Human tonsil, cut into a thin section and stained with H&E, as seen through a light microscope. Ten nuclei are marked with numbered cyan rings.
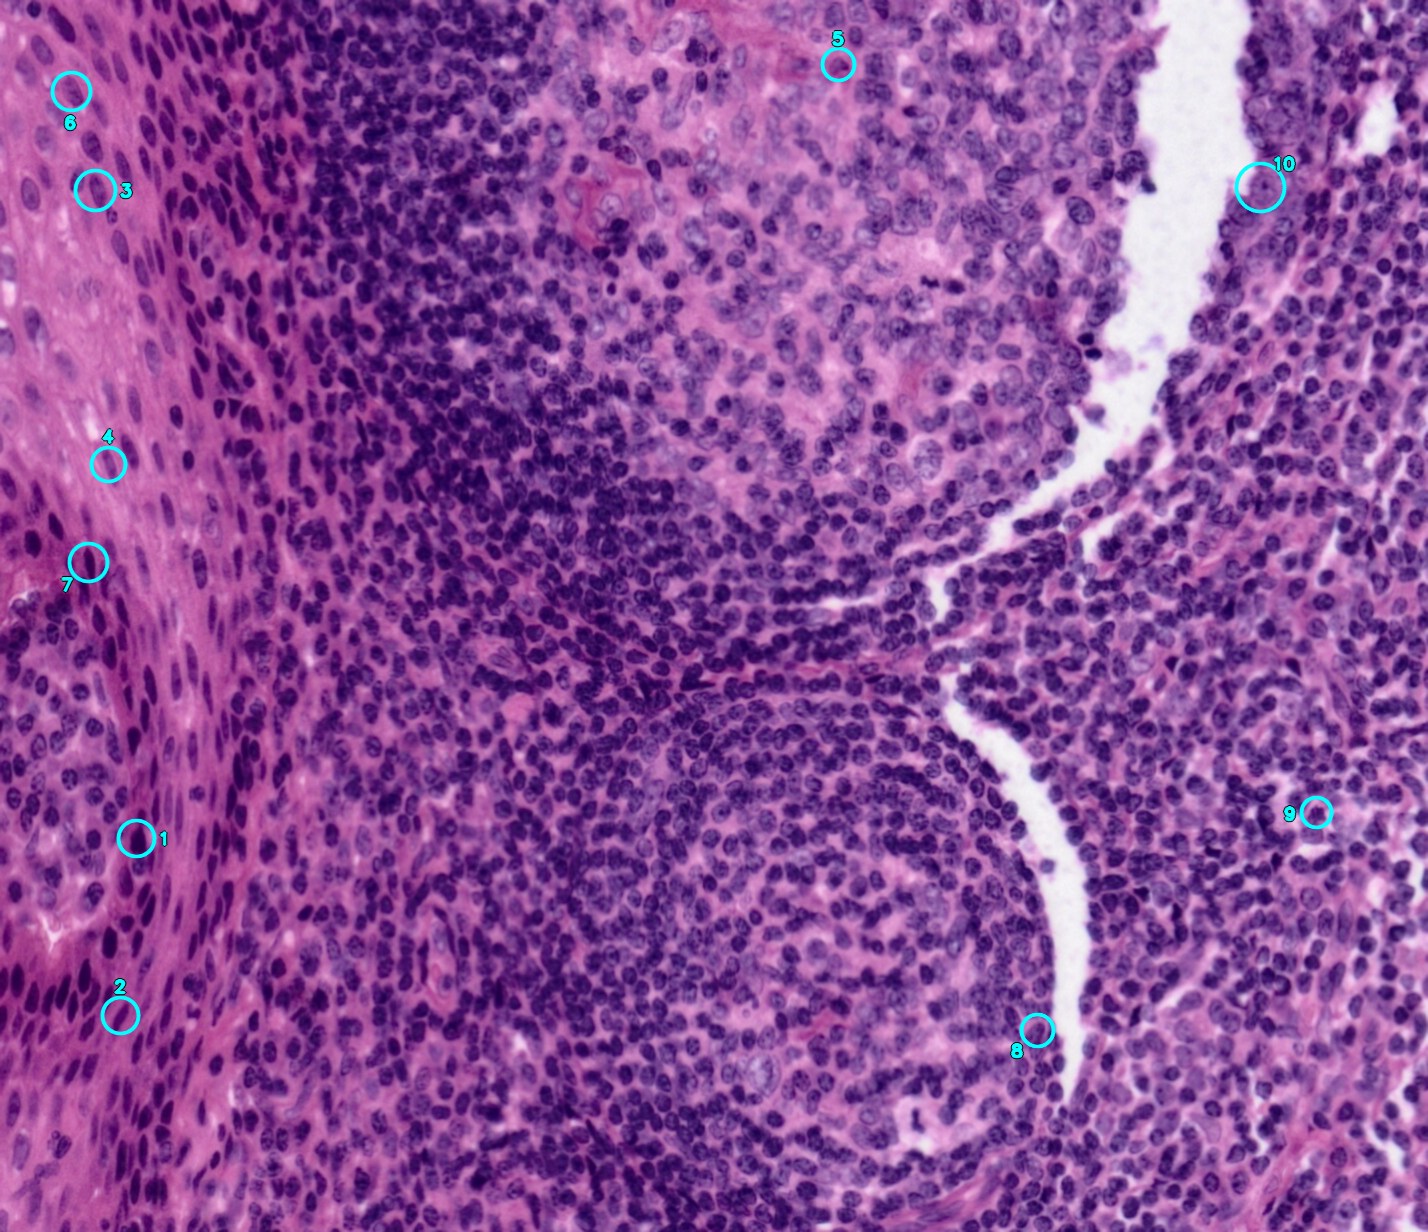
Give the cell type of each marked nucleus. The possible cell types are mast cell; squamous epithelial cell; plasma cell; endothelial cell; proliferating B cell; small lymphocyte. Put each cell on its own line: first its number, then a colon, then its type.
1: squamous epithelial cell
2: squamous epithelial cell
3: squamous epithelial cell
4: squamous epithelial cell
5: endothelial cell
6: squamous epithelial cell
7: squamous epithelial cell
8: small lymphocyte
9: small lymphocyte
10: proliferating B cell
